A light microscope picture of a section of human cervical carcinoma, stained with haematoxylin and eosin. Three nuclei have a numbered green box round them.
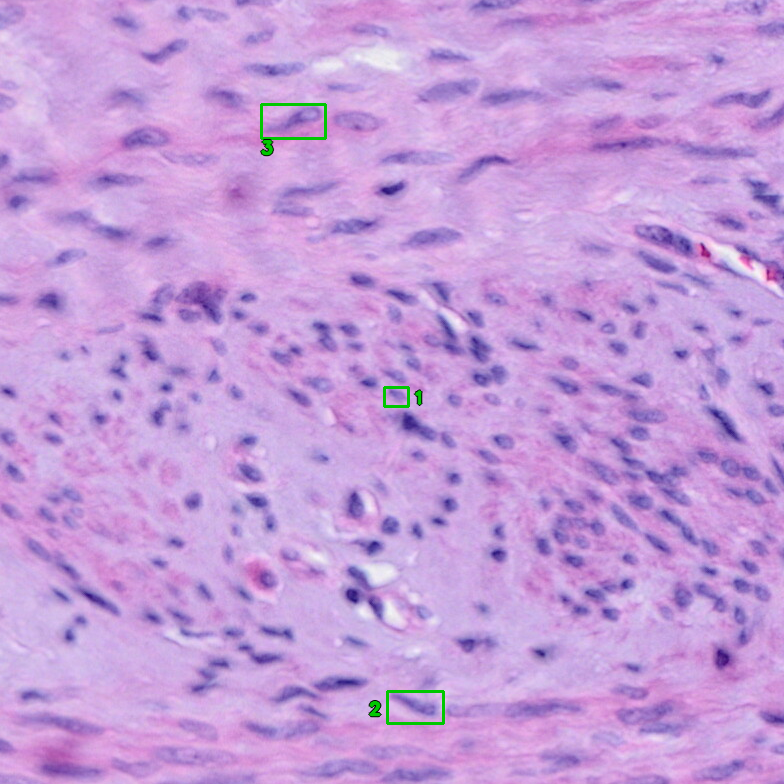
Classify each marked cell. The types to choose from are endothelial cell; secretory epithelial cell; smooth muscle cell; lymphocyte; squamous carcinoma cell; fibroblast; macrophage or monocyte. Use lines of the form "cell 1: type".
cell 1: smooth muscle cell
cell 2: fibroblast
cell 3: smooth muscle cell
